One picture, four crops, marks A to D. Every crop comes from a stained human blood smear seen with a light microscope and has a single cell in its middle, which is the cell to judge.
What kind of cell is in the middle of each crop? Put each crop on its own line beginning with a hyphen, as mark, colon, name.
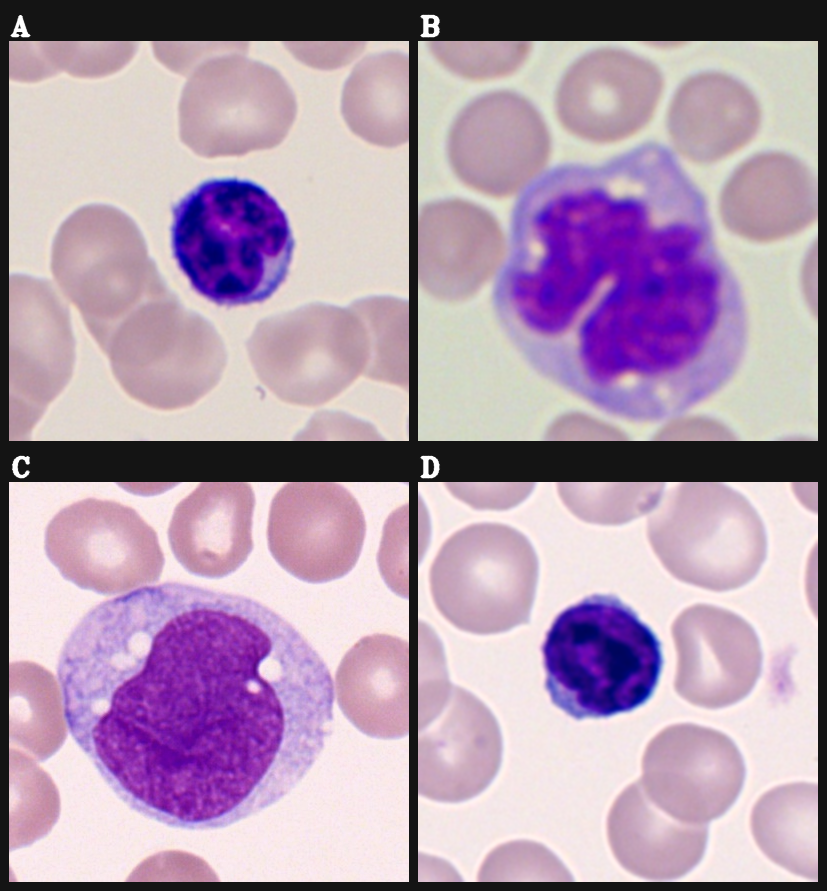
- A: lymphocyte
- B: monocyte
- C: monocyte
- D: lymphocyte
